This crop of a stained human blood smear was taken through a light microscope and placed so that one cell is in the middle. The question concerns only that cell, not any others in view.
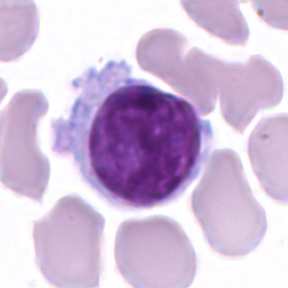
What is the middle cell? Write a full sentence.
By classification, the middle cell of this crop is a plasma cell.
